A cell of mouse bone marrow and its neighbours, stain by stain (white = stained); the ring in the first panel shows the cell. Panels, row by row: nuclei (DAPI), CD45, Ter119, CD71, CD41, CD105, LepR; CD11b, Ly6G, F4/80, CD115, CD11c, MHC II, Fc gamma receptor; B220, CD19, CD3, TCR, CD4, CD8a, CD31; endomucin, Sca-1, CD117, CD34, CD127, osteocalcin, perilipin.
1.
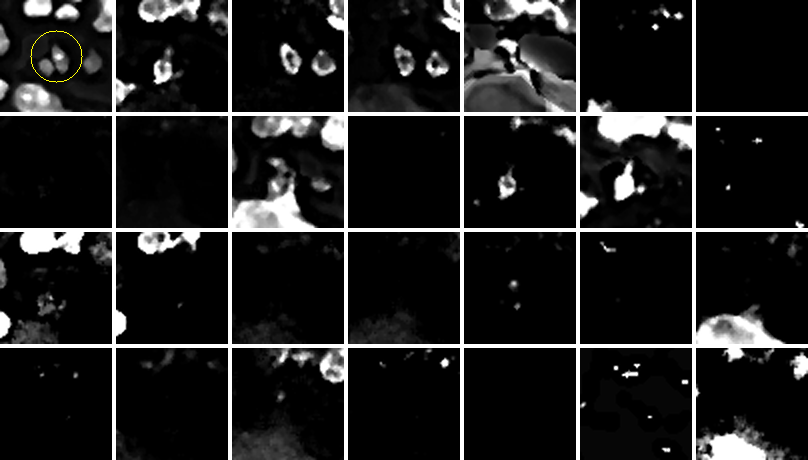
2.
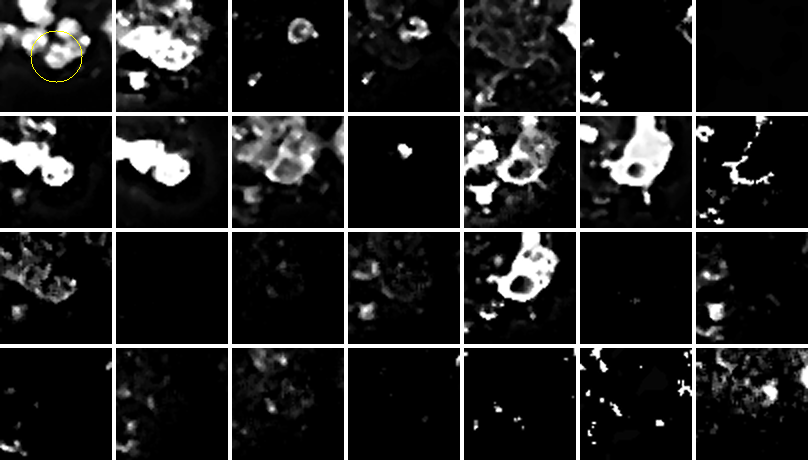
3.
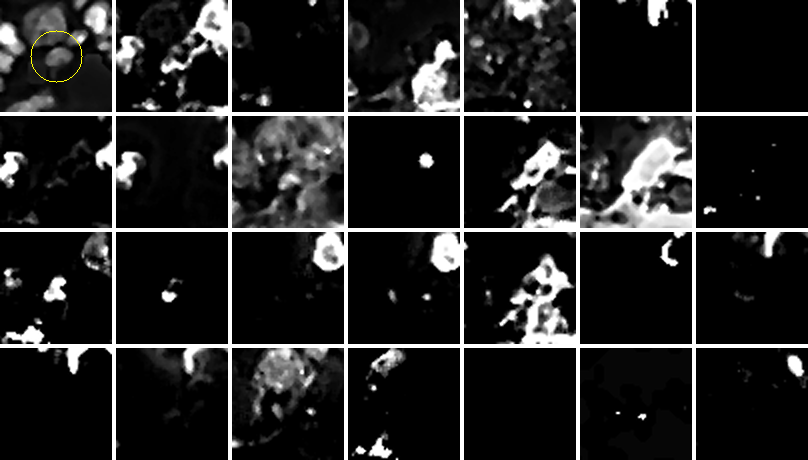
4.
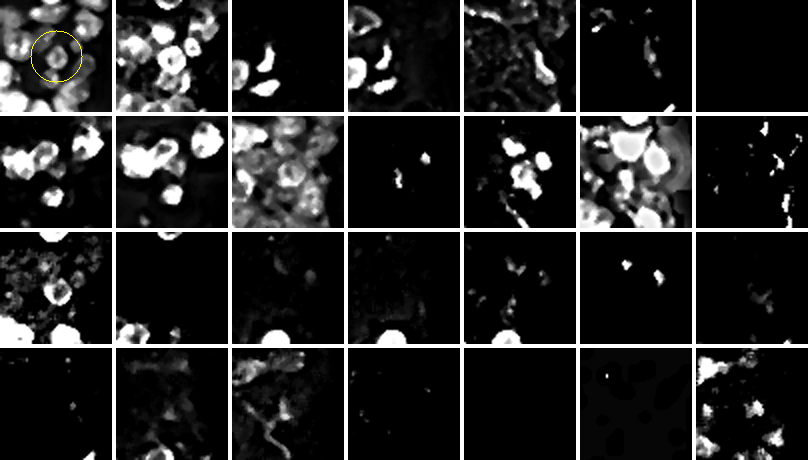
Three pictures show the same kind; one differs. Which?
Picture 1: an erythroblast, while the others are conventional dendritic cells.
